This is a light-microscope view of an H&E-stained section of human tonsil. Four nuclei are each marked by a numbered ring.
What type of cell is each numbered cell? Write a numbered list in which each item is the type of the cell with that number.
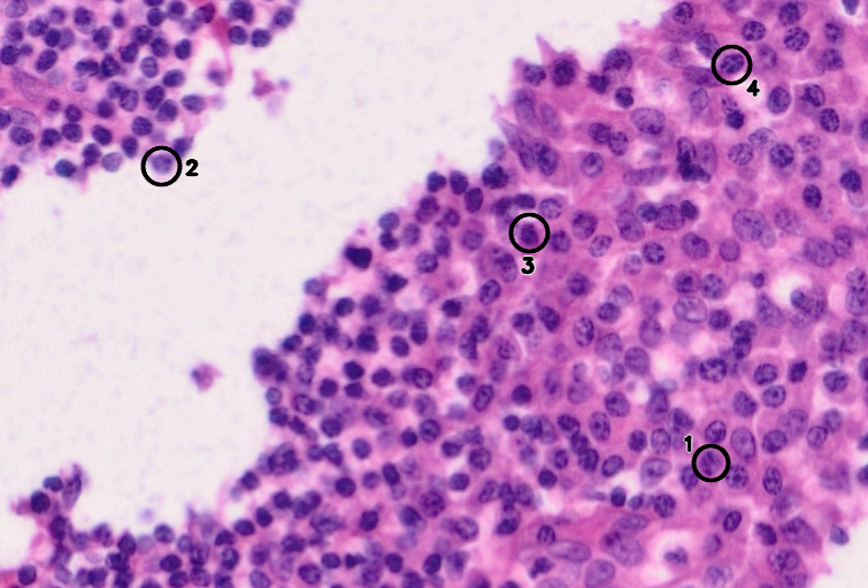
1. plasma cell
2. small lymphocyte
3. plasma cell
4. plasma cell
